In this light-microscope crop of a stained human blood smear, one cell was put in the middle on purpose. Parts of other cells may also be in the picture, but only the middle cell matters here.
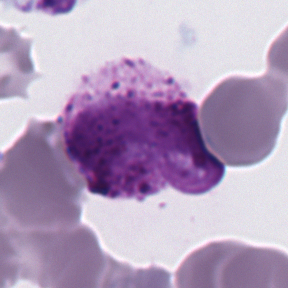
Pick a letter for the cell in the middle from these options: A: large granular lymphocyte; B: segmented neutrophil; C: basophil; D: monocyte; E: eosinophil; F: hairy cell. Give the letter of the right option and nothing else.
C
